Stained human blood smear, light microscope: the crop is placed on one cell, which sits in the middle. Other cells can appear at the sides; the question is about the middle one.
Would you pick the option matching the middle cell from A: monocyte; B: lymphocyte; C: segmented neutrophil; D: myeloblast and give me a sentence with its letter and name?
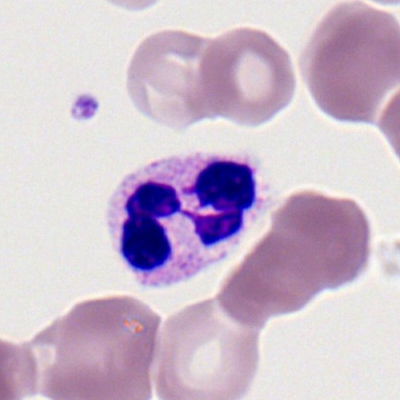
Located in the middle of the crop is a segmented neutrophil, and option C is therefore correct.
